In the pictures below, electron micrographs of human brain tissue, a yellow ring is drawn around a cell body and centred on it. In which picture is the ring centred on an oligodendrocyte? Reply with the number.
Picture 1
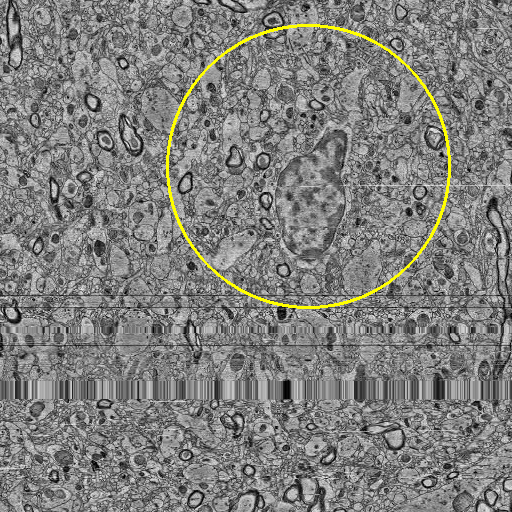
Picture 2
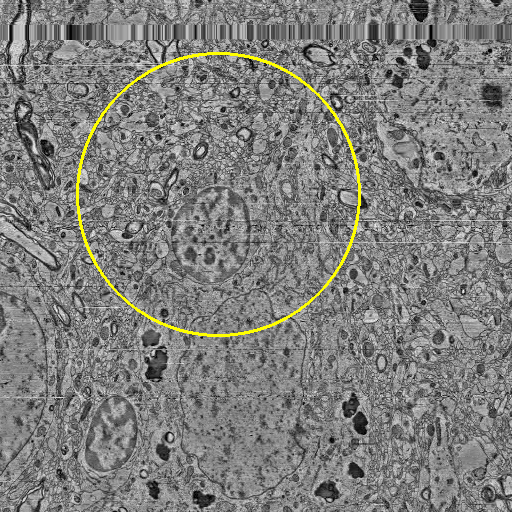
2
